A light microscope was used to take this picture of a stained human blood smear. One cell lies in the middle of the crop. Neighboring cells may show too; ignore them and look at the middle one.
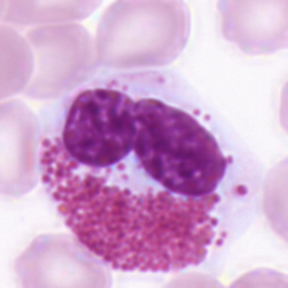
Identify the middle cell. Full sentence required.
The middle of this crop holds an eosinophil.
